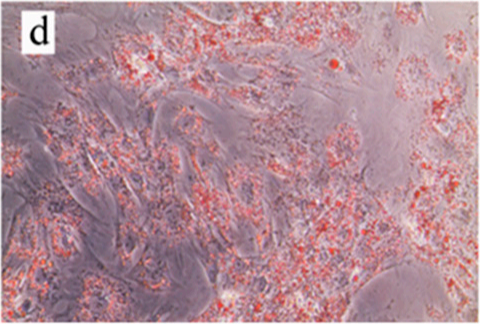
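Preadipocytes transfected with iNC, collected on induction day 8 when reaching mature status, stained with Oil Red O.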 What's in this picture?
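Cultured cells are shown, some of them rounded and filled with many small red-stained lipid droplets. These droplet-laden cells form irregular clusters scattered over the field. A few larger single red droplets stand out among the smaller ones.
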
